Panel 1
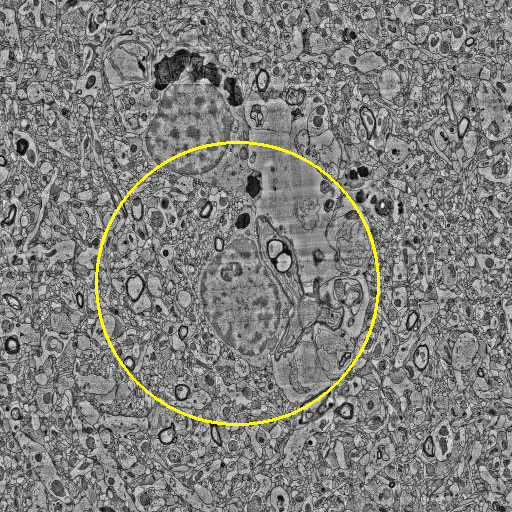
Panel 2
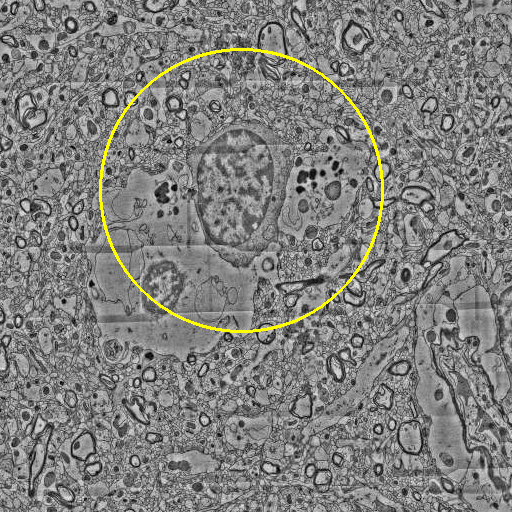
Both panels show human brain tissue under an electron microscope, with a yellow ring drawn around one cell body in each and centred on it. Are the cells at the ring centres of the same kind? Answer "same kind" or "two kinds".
same kind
